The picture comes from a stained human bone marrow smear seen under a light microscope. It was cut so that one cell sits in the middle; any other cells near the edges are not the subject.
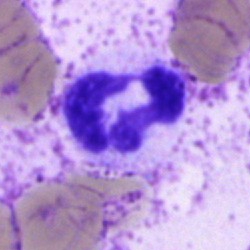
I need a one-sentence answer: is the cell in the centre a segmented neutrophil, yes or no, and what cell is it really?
Yes, the cell shown at the crop's centre is a segmented neutrophil.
